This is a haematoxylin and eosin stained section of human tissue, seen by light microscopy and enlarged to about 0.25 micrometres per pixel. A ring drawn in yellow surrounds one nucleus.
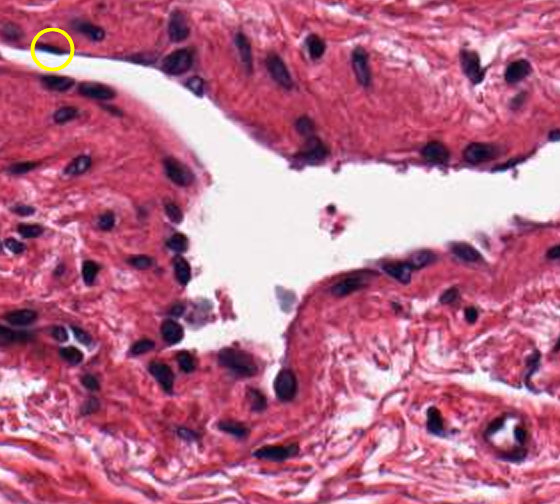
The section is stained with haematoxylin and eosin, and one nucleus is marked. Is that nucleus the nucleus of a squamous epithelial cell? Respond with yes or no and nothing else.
no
